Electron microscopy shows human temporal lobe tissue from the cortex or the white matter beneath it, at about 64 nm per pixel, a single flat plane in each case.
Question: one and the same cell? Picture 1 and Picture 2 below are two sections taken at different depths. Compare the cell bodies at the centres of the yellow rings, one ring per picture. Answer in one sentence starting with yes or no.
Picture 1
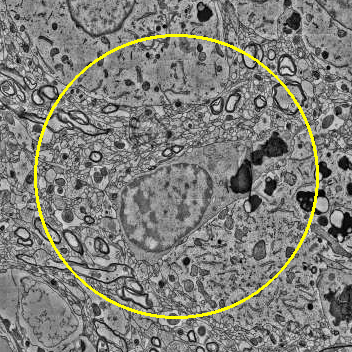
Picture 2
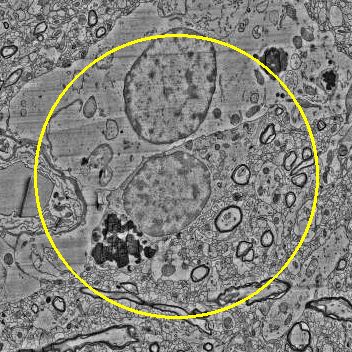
No, the two circled cells are distinct from one another.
